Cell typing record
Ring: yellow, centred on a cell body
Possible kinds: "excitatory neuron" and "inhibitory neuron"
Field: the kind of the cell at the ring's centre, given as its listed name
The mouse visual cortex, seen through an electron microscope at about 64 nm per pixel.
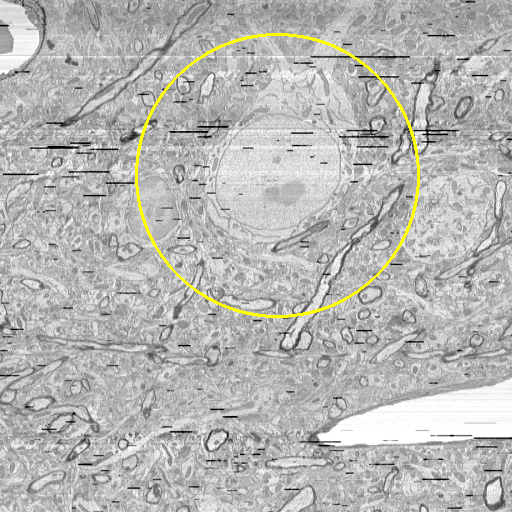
excitatory neuron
